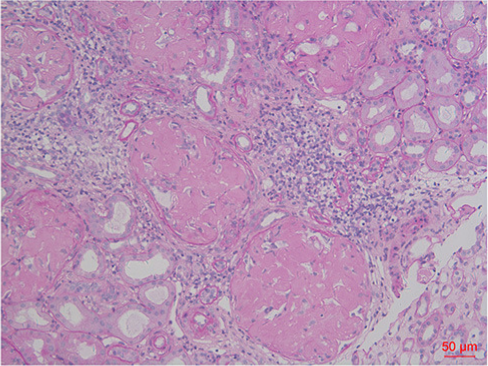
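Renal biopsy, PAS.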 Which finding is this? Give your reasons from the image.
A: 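Glomerular tufts are replaced by pale pink homogeneous material. Open capillary lumens are hardly visible within the glomeruli.
Hence: obliteration of glomerular capillary loops.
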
